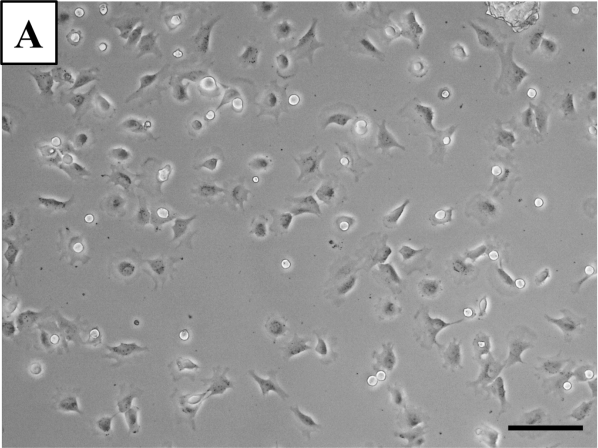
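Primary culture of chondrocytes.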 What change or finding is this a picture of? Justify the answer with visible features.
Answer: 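Sparse, separate flattened cells with angular outlines and several short corners. Scattered small bright round cells lie among them.
Polygonal shape.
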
